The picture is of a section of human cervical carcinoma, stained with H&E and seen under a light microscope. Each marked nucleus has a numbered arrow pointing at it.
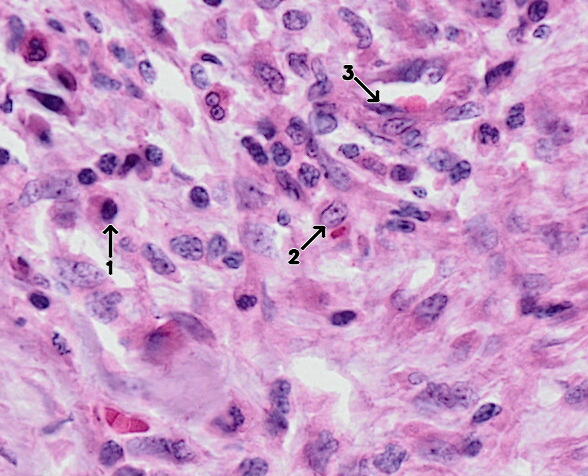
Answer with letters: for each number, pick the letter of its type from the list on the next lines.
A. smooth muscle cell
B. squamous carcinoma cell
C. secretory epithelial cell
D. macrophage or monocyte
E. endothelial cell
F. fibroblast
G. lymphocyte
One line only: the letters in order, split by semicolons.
G; E; E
